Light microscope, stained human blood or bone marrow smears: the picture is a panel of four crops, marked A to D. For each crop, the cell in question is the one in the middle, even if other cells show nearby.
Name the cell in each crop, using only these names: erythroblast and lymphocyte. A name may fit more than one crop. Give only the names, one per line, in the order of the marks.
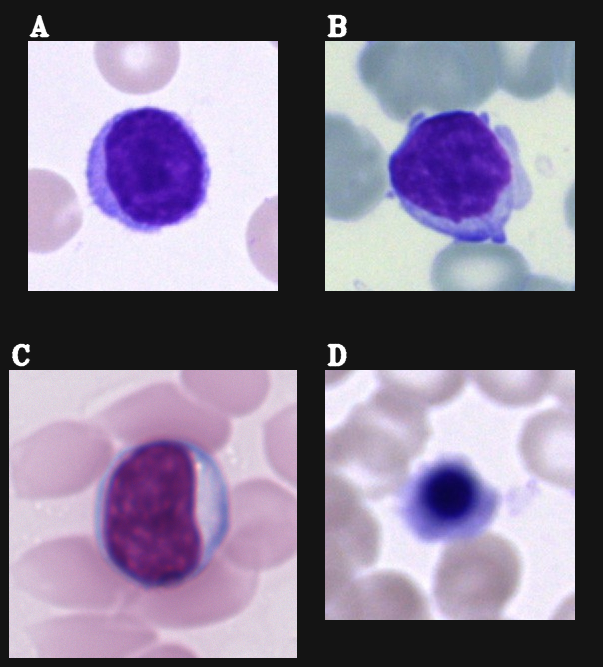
lymphocyte
lymphocyte
lymphocyte
erythroblast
